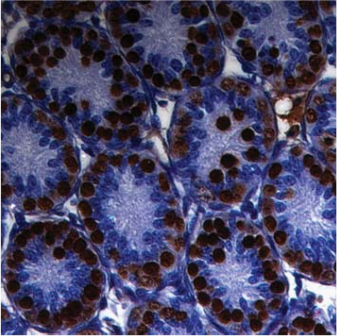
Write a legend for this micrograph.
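Testis sections with seminiferous tubules in cross-section, germ cells stained brown among blue-counterstained supporting cells. Brown, round nuclei form a crowded ring near the base of most tubules, one to two cells deep, with some lying further inward. Between and inside them lie elongated or oval blue nuclei of the supporting cells, whose pale violet cytoplasm fills the tubule centre in a radiating pattern. Tubule walls are thin with flattened nuclei; narrow interstitial spaces between tubules hold scattered unstained cells and small gaps.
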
